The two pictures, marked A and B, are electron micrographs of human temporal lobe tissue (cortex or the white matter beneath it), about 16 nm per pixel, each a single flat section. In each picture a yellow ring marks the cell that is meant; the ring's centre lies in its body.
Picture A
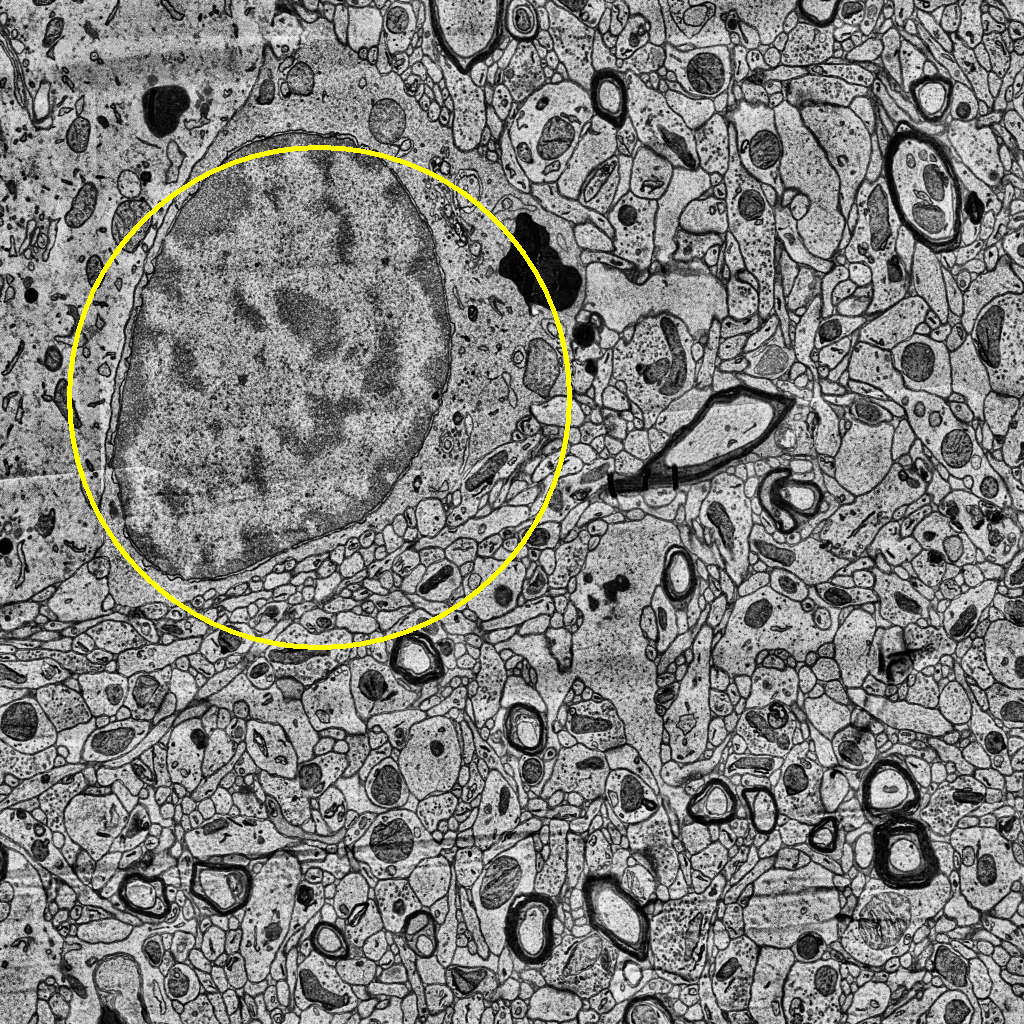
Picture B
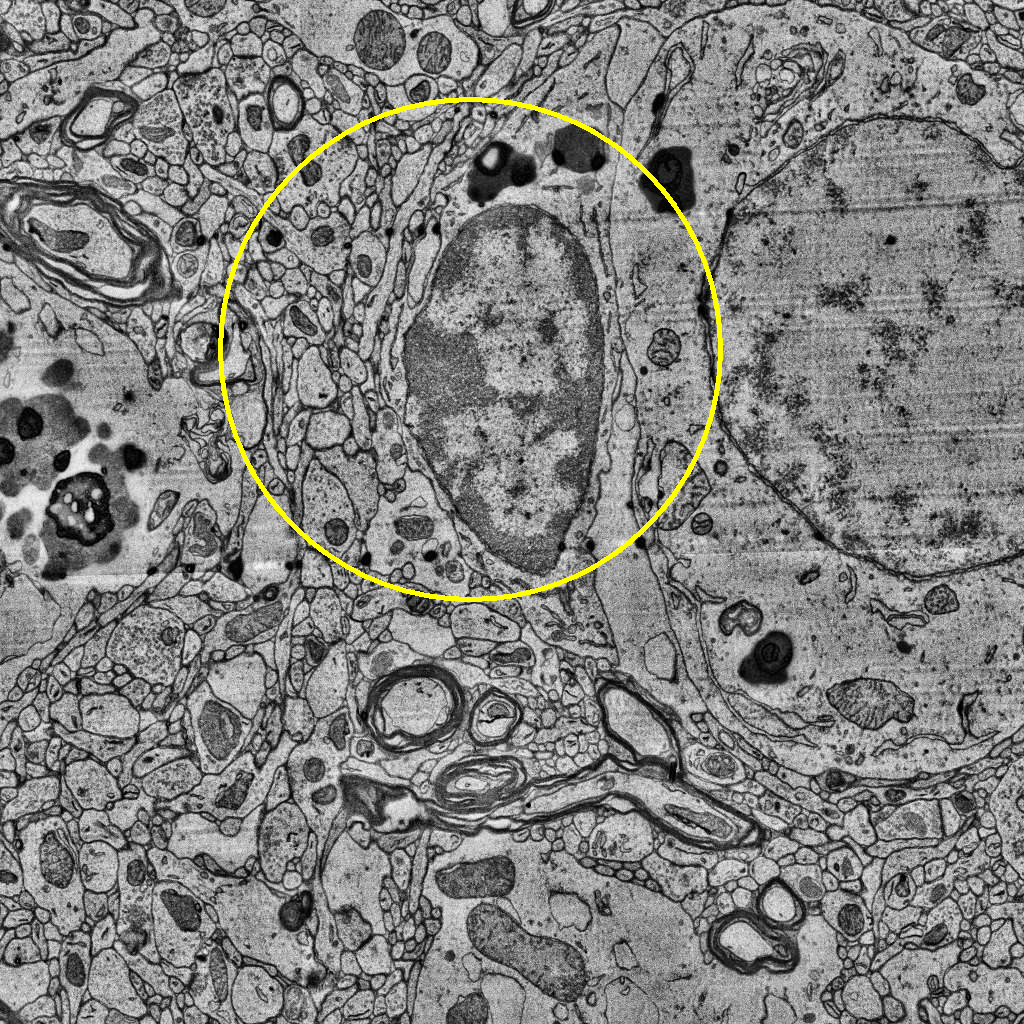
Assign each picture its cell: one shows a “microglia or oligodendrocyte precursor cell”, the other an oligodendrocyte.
Picture A is of an oligodendrocyte, and picture B is of a “microglia or oligodendrocyte precursor cell”.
